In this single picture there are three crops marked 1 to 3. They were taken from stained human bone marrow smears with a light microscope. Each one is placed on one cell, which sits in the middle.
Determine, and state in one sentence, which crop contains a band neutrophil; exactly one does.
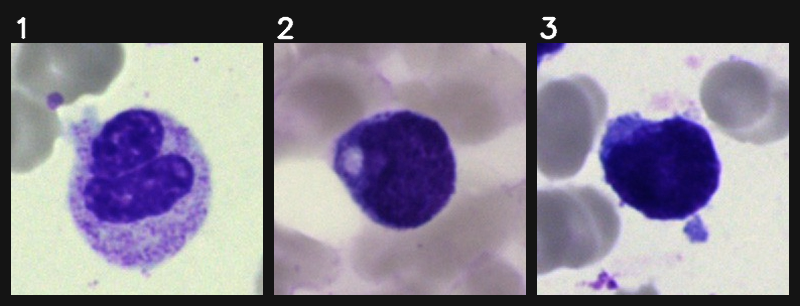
It is in crop 1 that a band neutrophil is shown.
